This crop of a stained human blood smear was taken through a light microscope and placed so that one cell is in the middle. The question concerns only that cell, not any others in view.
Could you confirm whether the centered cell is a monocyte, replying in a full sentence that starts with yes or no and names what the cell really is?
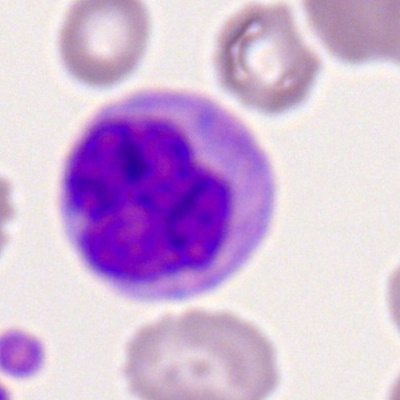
Yes, at the centre of the crop lies a monocyte.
